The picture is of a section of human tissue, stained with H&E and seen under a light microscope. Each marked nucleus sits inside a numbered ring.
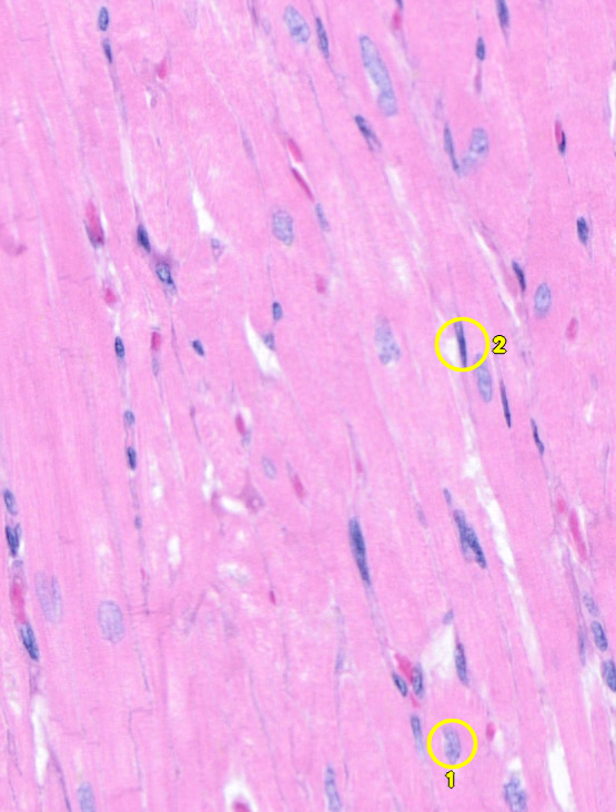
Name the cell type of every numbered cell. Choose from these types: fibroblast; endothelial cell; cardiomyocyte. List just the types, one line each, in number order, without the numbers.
cardiomyocyte
endothelial cell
